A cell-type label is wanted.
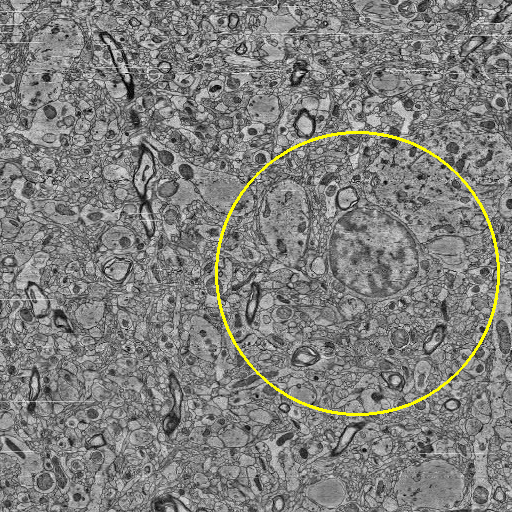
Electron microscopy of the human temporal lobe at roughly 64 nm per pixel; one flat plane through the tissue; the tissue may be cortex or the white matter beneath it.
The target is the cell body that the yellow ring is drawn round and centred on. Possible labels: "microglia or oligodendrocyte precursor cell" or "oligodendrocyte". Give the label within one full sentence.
Of the labels offered, the cell in the middle of the yellow ring is an oligodendrocyte.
